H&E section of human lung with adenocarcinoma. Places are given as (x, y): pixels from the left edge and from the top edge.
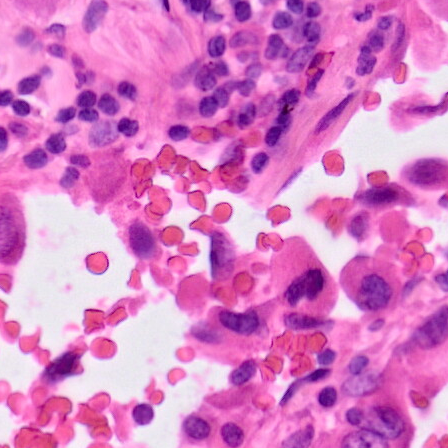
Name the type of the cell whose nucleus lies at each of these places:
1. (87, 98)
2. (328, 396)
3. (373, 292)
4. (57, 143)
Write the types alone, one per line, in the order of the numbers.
lymphocyte
lymphocyte
carcinoma cell
lymphocyte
